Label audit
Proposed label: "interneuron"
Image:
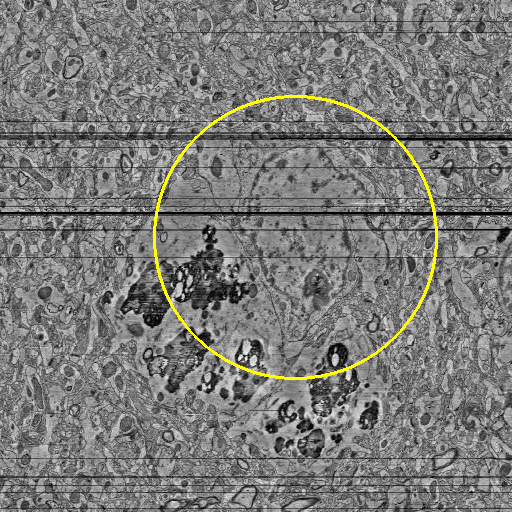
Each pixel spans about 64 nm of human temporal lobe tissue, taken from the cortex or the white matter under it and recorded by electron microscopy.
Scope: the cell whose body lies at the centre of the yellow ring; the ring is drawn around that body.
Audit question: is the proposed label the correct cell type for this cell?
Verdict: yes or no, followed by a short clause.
Yes, the label fits this cell.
